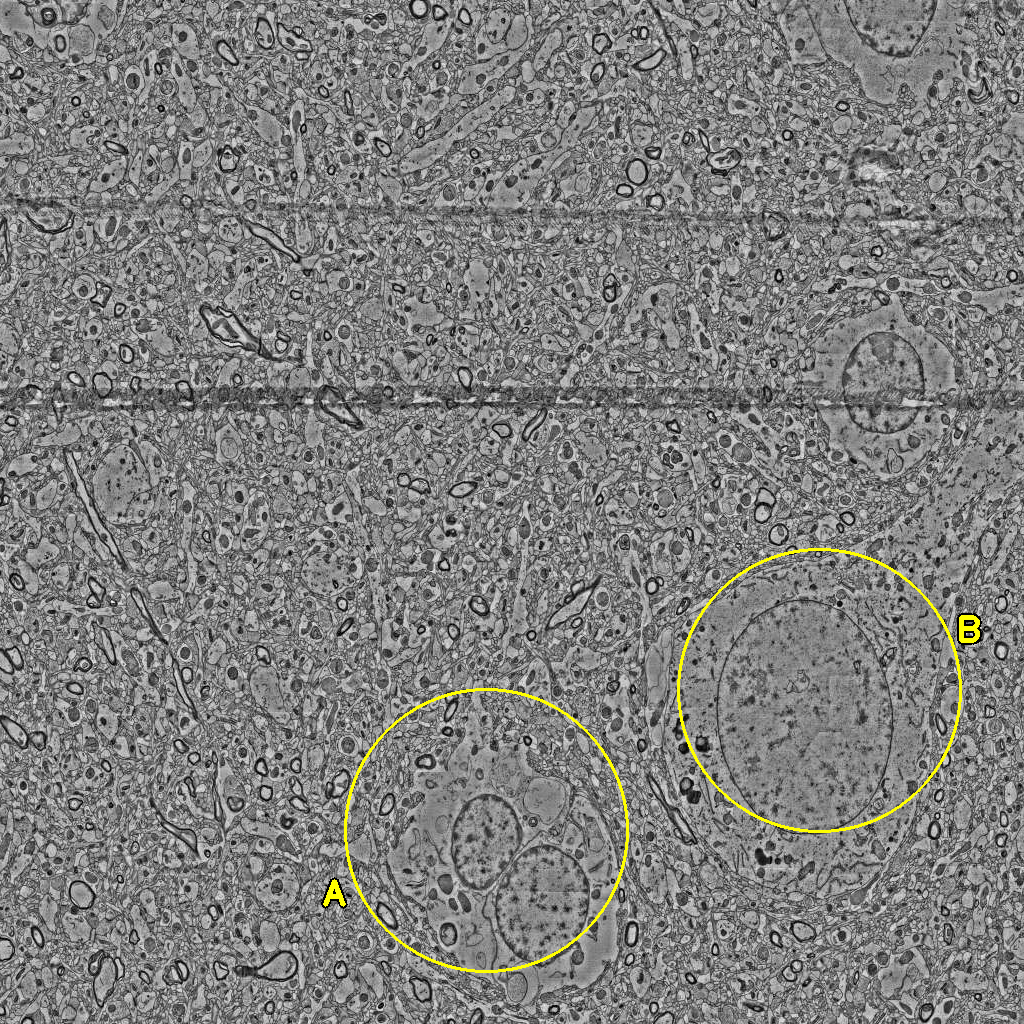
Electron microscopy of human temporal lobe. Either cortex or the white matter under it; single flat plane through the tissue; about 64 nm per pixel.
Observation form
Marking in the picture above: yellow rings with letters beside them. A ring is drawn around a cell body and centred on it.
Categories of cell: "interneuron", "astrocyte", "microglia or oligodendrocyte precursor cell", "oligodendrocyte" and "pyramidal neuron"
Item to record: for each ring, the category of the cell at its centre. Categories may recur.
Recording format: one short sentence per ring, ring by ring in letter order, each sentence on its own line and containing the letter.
Ring A is placed on an astrocyte.
Ring B is placed on a pyramidal neuron.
